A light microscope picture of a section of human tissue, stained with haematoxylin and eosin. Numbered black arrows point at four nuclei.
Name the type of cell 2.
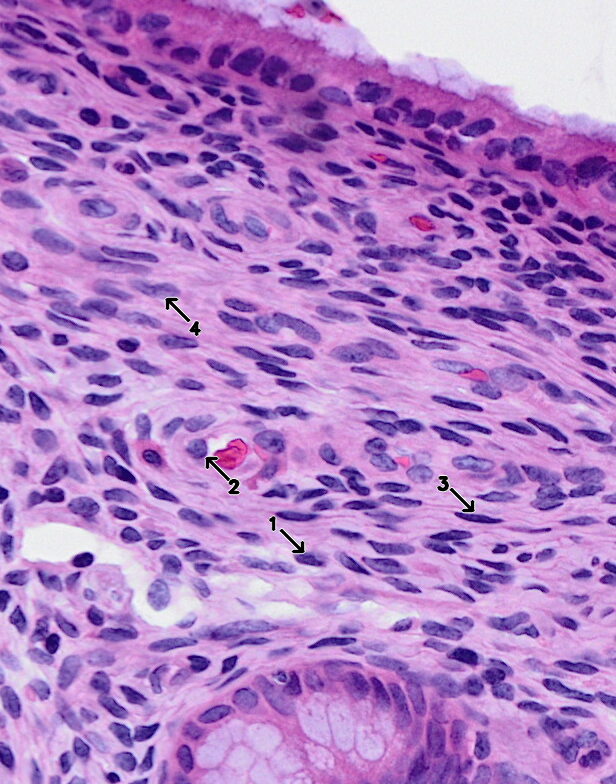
endothelial cell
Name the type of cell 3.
fibroblast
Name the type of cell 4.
fibroblast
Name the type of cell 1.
fibroblast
